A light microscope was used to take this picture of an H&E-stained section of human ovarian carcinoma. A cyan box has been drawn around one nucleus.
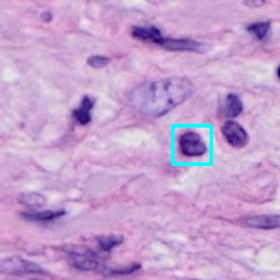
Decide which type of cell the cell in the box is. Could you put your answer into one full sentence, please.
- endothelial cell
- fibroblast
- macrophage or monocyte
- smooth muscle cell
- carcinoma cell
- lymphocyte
In this section, the cell in the box is a lymphocyte.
